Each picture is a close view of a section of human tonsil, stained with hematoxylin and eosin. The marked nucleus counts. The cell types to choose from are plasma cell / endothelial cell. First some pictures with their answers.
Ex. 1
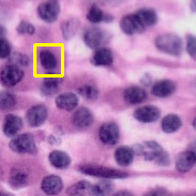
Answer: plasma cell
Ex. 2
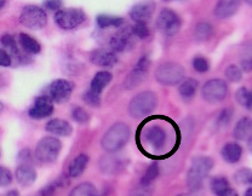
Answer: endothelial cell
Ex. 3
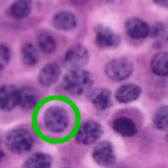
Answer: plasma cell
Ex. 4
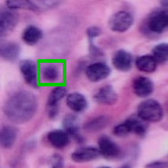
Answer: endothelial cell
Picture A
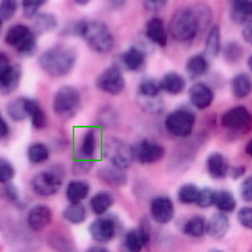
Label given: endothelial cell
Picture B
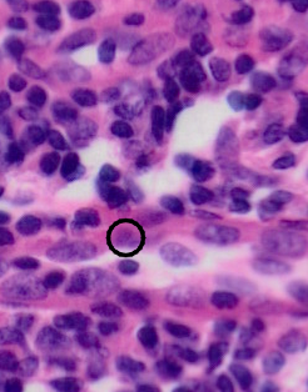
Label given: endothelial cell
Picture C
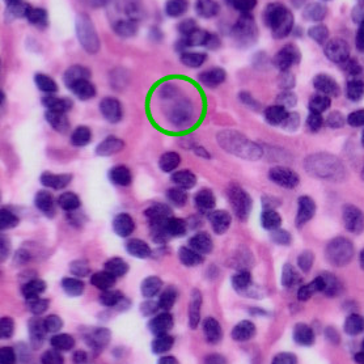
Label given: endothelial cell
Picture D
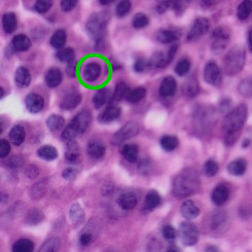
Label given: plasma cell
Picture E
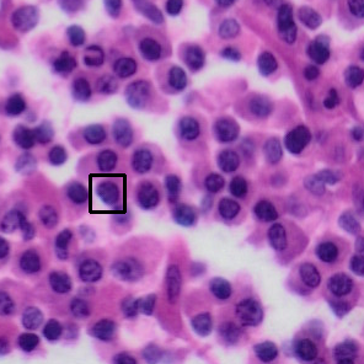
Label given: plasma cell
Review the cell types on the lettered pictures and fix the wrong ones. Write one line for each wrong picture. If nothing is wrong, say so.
All labels are correct.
